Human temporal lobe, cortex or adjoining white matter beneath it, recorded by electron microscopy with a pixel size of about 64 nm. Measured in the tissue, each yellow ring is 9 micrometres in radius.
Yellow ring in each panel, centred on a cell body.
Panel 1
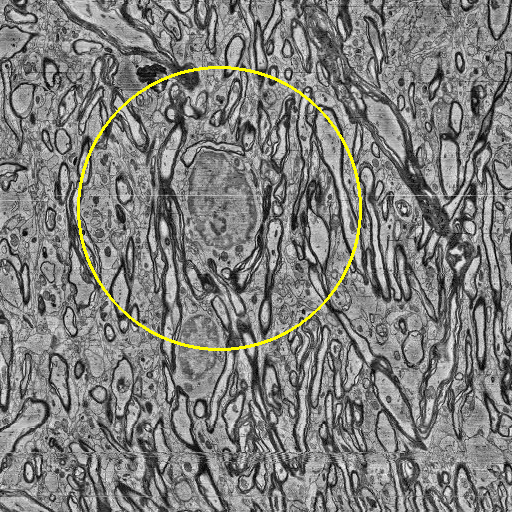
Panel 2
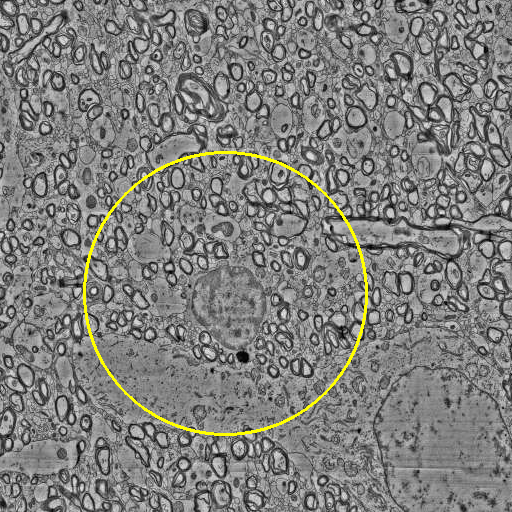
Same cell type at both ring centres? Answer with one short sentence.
Yes, both cells are of the same type.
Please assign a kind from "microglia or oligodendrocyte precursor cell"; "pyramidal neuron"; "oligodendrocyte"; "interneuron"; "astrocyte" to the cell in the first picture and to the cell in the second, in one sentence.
Each of the ringed cells, first and second, is an oligodendrocyte.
